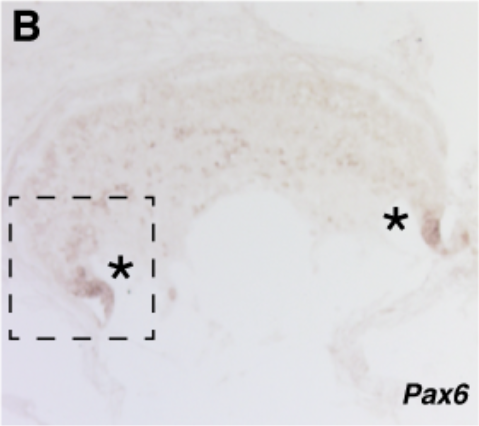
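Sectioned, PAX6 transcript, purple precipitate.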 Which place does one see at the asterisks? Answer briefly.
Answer: Periphery of the eyecup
